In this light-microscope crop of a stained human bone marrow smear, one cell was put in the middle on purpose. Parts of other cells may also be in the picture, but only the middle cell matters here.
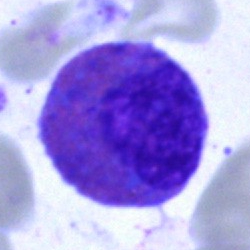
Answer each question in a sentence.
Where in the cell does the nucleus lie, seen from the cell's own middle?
The nucleus sits off-centre, toward the right.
